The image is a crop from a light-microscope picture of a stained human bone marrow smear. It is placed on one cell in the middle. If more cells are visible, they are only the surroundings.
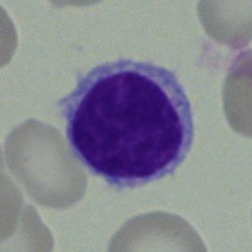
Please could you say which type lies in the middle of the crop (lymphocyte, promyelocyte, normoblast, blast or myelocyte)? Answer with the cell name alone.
lymphocyte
